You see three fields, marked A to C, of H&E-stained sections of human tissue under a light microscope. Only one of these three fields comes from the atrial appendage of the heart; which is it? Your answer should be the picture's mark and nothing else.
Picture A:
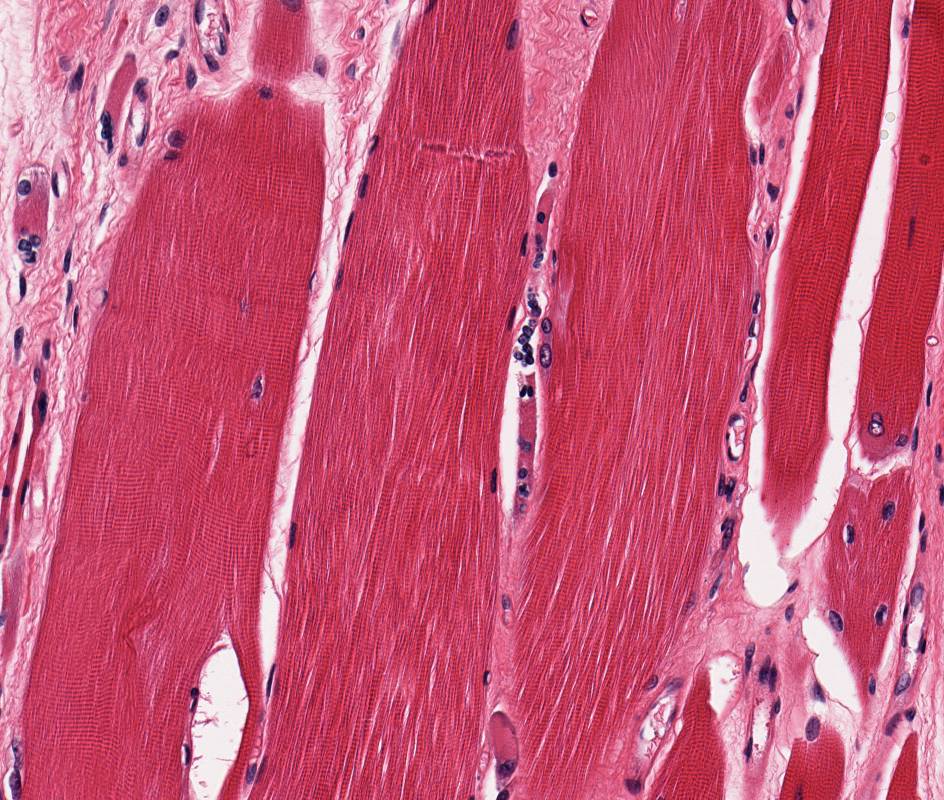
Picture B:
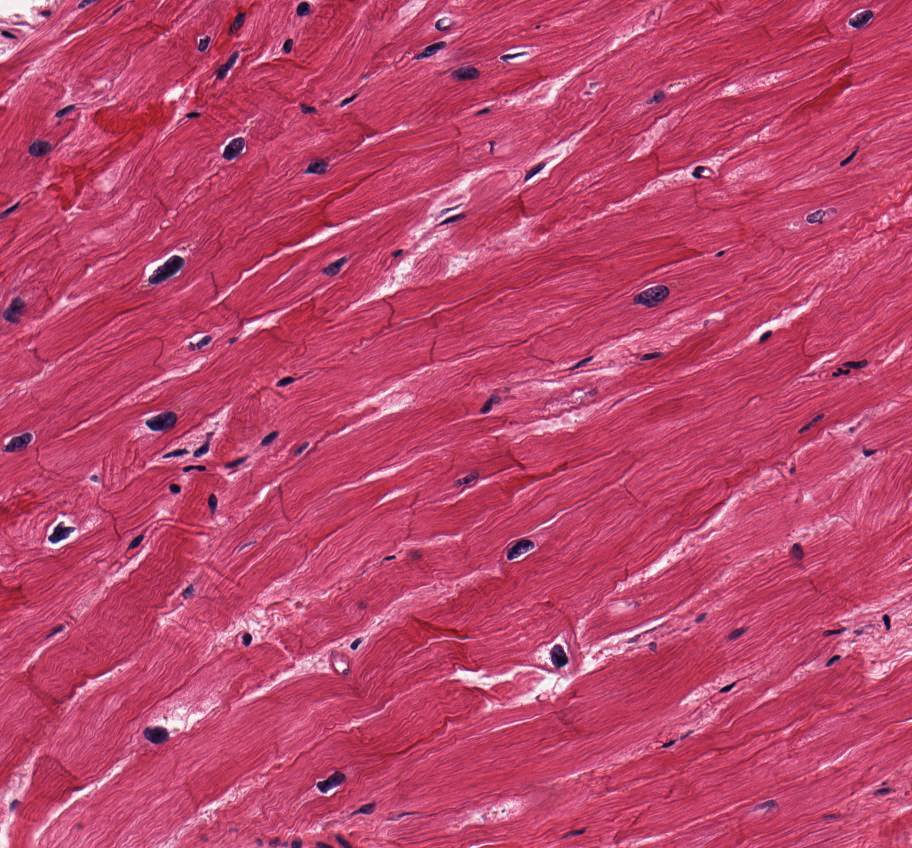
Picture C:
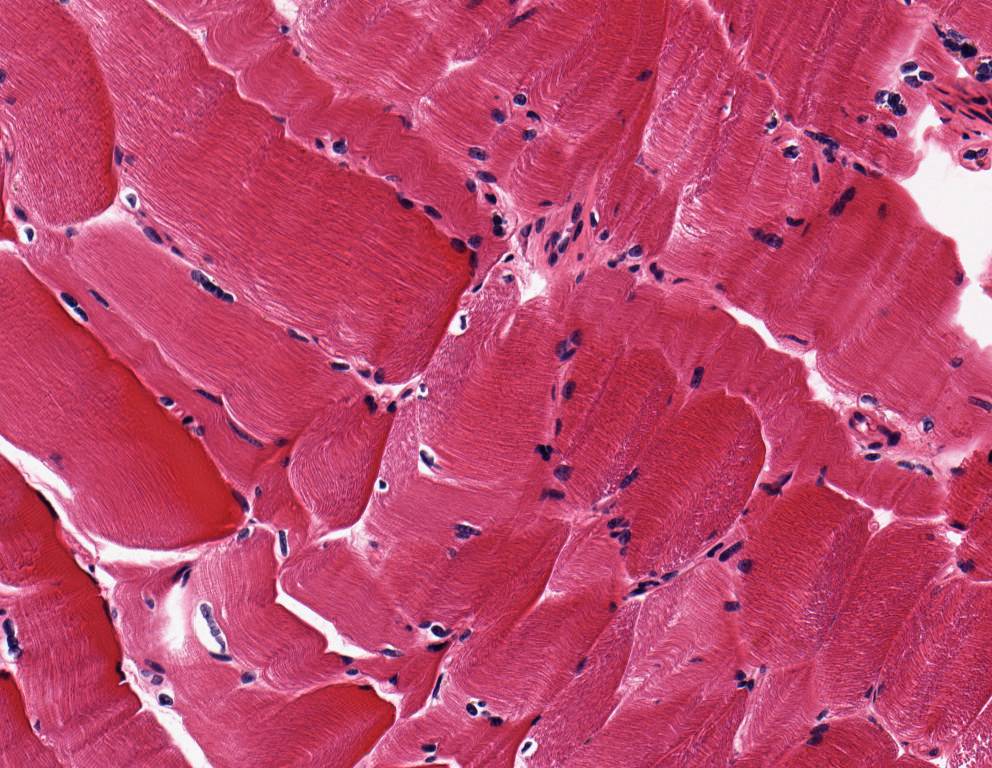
B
